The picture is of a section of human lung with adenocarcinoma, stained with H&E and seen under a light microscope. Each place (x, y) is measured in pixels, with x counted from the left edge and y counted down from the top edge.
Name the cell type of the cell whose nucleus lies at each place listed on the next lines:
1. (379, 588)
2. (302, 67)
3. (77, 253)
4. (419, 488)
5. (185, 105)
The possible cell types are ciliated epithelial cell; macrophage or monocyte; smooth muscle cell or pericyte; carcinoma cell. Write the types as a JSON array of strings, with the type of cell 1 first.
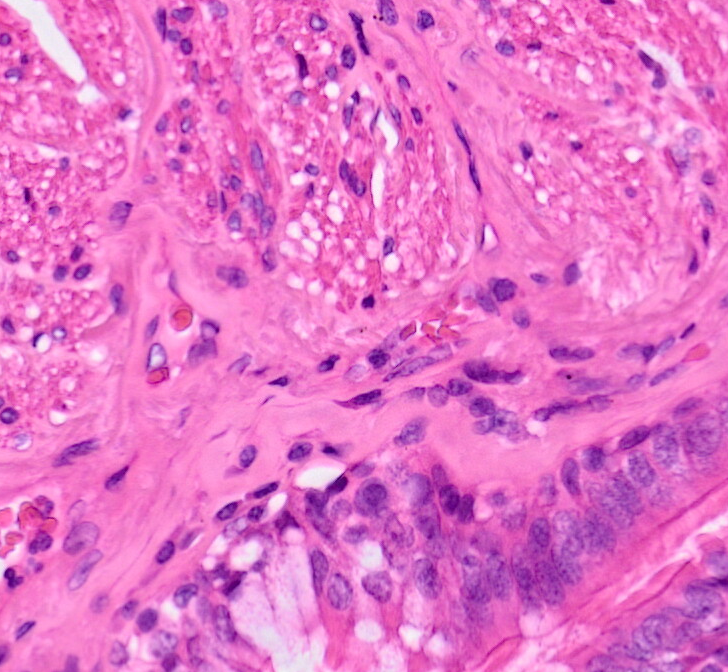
["ciliated epithelial cell", "smooth muscle cell or pericyte", "smooth muscle cell or pericyte", "ciliated epithelial cell", "smooth muscle cell or pericyte"]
